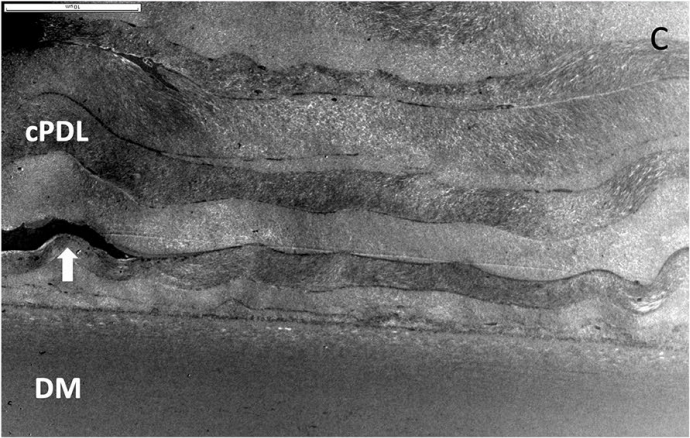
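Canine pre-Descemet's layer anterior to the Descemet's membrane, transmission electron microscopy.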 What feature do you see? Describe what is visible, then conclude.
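Stacked, tightly packed bands of fibres run across the panel. Adjacent bands show fibres cut in different directions, giving alternating textures. That points to this answer: compactly arranged horizontal and vertical lamellae.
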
